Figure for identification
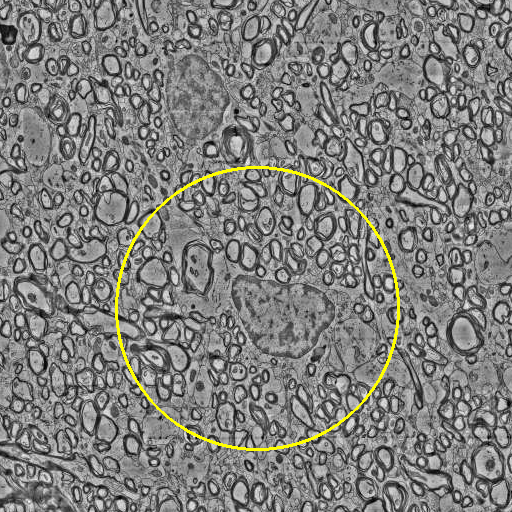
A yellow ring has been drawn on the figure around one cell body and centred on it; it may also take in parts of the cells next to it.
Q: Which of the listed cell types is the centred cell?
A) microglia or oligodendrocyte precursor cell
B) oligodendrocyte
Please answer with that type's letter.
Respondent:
A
